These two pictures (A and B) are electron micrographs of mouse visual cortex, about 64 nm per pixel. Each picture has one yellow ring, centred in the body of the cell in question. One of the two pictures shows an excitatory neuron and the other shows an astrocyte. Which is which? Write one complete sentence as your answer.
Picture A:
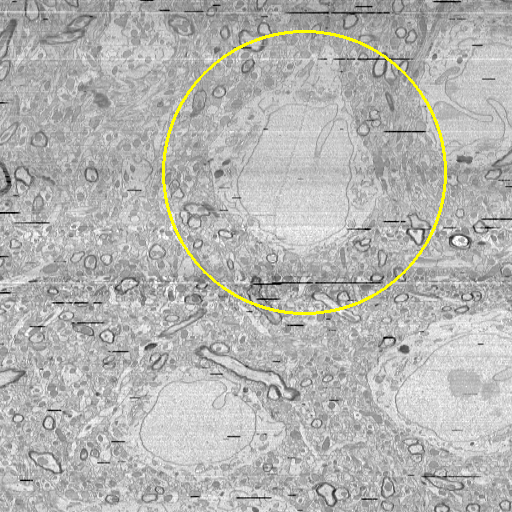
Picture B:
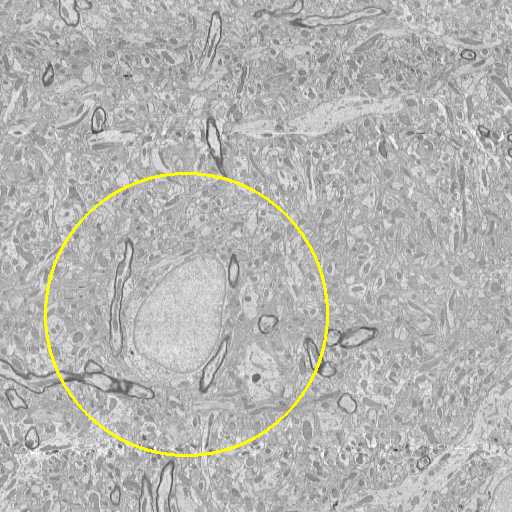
Picture A is of an excitatory neuron, and picture B is of an astrocyte.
